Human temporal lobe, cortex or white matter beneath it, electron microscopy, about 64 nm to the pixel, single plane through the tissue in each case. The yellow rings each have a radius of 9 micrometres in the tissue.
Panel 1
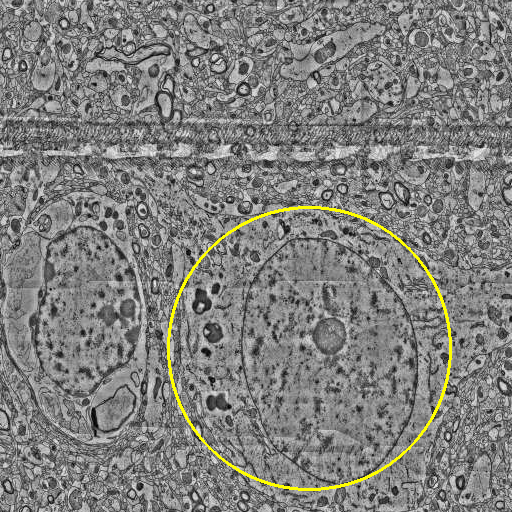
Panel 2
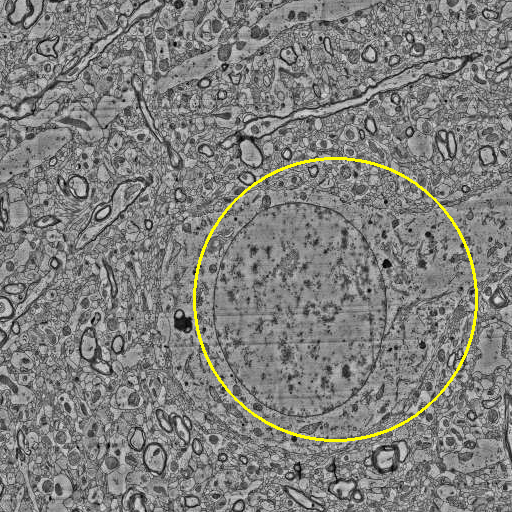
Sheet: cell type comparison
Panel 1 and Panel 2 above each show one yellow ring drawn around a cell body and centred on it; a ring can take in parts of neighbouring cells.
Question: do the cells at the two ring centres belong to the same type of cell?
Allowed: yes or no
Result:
yes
